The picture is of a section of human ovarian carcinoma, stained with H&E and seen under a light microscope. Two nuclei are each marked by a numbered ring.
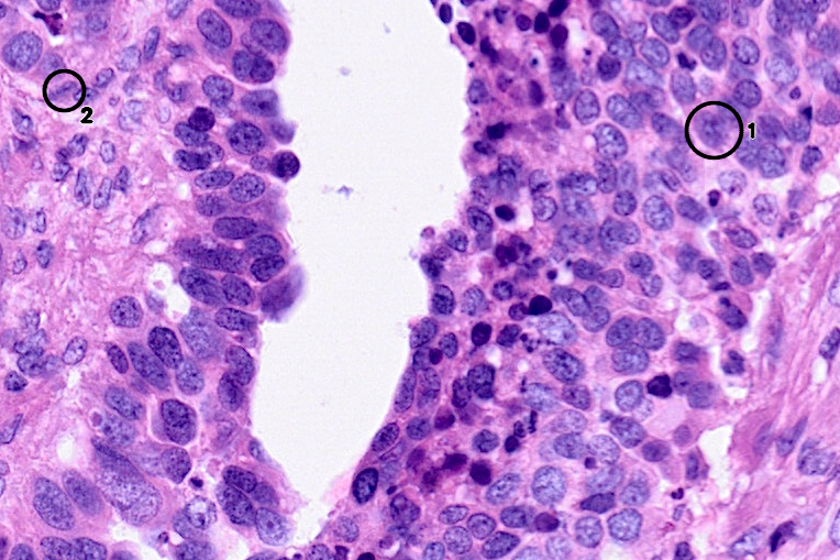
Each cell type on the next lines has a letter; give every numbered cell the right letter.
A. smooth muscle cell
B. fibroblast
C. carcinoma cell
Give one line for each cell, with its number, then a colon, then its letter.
1: C
2: B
